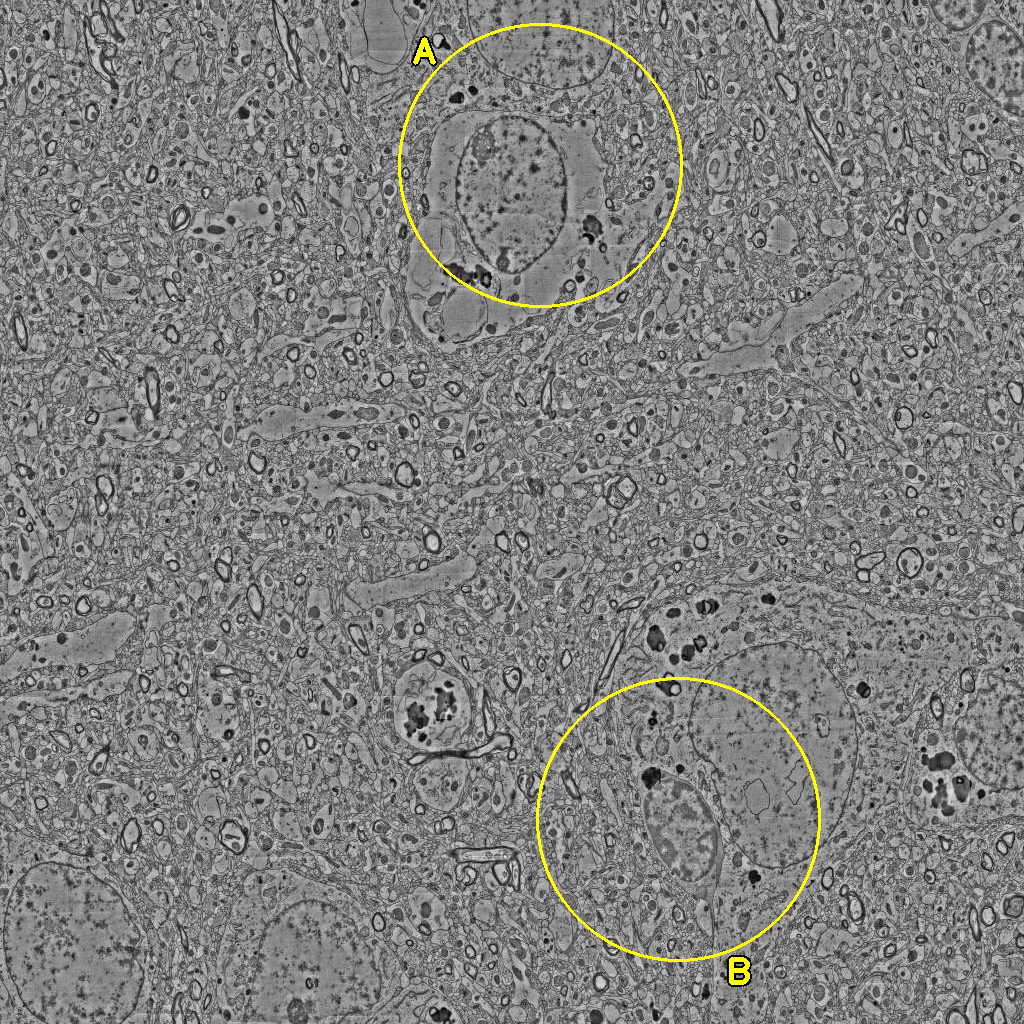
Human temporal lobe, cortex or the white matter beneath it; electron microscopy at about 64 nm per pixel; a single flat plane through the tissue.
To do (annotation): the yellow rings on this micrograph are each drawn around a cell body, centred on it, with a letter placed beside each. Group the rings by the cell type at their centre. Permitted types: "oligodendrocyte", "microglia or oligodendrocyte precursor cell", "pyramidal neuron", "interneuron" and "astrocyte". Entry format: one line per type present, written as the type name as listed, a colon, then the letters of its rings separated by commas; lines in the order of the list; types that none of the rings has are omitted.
oligodendrocyte: B
astrocyte: A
